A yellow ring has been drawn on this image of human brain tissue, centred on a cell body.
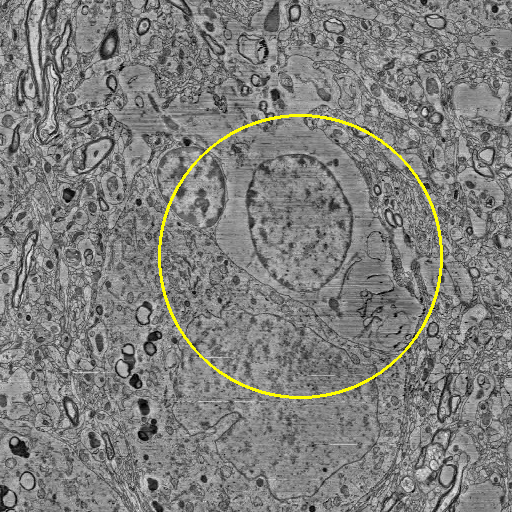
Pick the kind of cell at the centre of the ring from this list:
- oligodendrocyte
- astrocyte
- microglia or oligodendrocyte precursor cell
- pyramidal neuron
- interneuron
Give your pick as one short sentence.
The centre of the ring holds an astrocyte.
